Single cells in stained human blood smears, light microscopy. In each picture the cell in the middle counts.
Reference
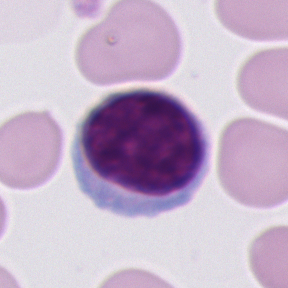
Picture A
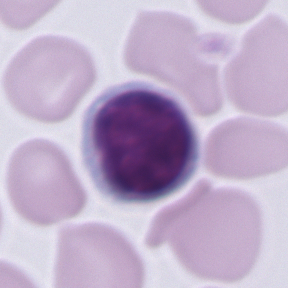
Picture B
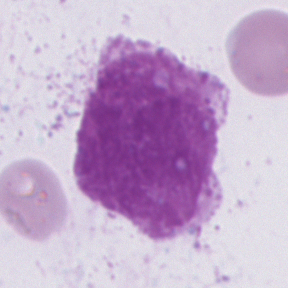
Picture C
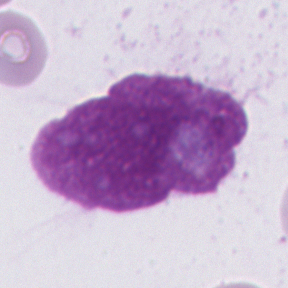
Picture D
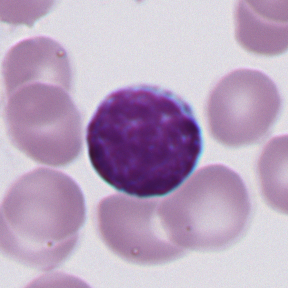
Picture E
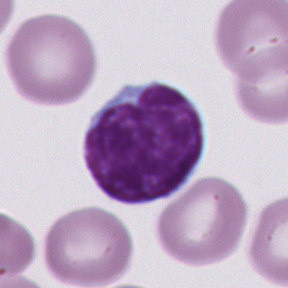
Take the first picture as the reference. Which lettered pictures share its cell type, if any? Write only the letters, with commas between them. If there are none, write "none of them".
A, D, E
